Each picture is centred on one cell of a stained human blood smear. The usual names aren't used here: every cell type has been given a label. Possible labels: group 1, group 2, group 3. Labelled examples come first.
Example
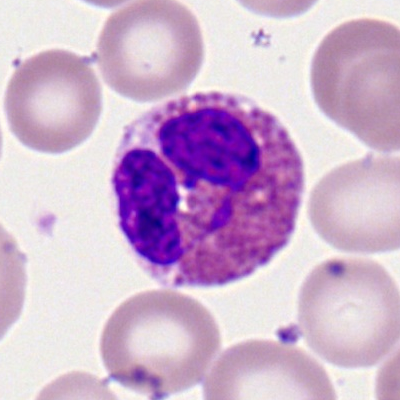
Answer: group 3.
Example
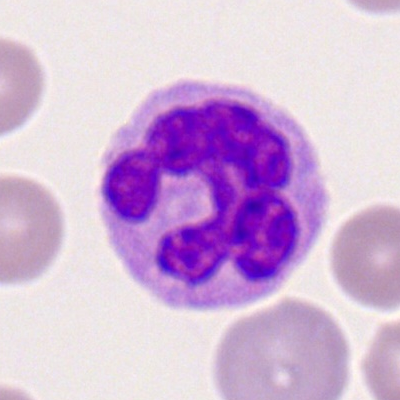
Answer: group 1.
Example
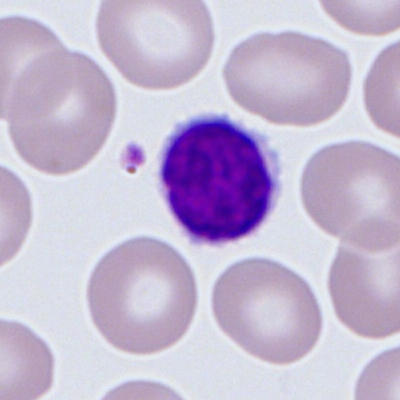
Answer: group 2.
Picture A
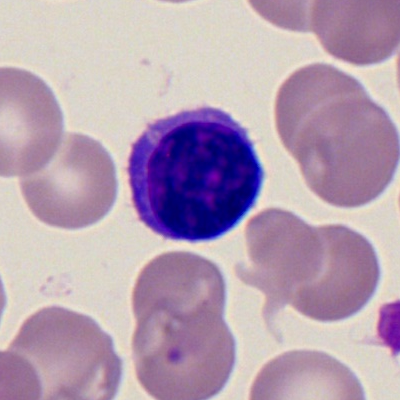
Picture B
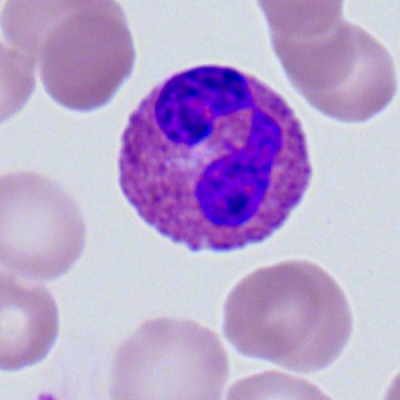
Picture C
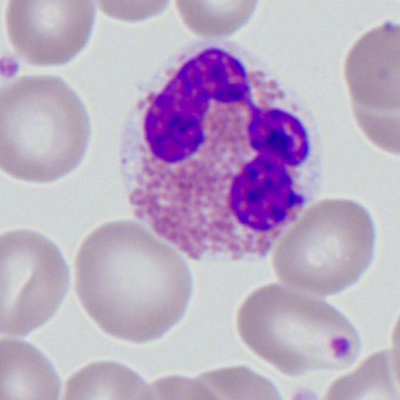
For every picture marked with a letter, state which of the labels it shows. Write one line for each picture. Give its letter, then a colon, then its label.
A: group 2.
B: group 3.
C: group 3.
